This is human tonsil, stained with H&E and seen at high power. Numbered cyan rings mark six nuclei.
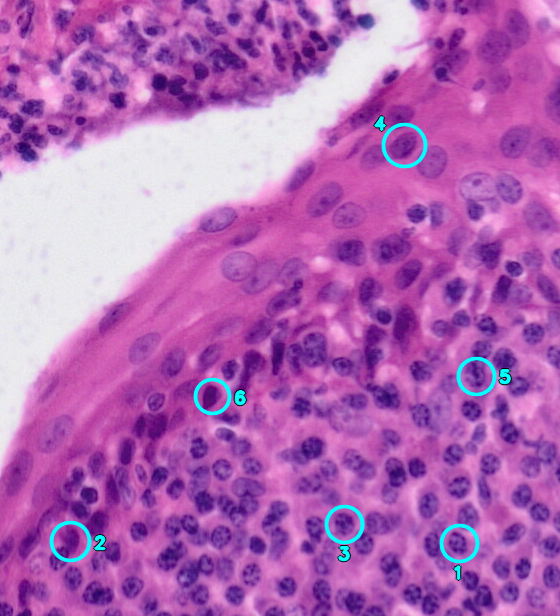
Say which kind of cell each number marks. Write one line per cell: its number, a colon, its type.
1: plasma cell
2: squamous epithelial cell
3: plasma cell
4: squamous epithelial cell
5: plasma cell
6: squamous epithelial cell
